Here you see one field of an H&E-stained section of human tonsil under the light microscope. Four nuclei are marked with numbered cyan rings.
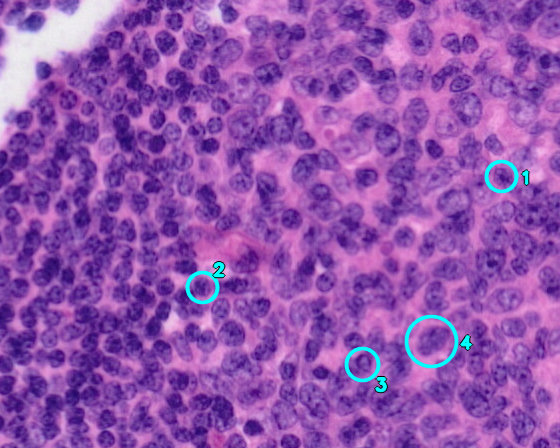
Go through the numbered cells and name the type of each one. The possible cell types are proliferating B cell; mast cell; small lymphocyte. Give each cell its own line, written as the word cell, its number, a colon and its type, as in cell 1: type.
cell 1: proliferating B cell
cell 2: small lymphocyte
cell 3: proliferating B cell
cell 4: proliferating B cell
